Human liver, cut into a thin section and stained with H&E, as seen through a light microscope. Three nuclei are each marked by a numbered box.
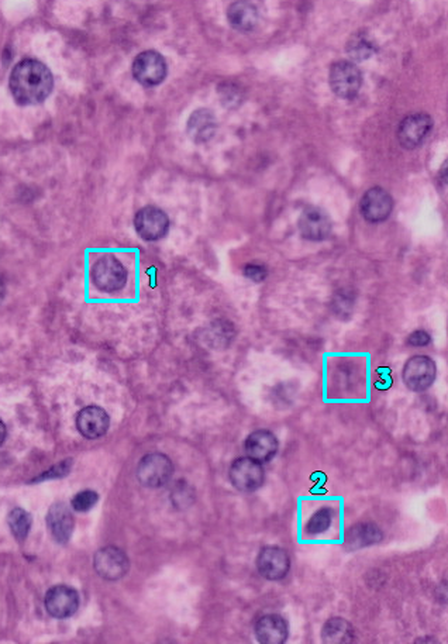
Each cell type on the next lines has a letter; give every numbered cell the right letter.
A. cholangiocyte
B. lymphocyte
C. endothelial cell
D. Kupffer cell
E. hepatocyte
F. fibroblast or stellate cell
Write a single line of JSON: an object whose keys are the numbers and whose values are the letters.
{"1": "E", "2": "B", "3": "E"}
